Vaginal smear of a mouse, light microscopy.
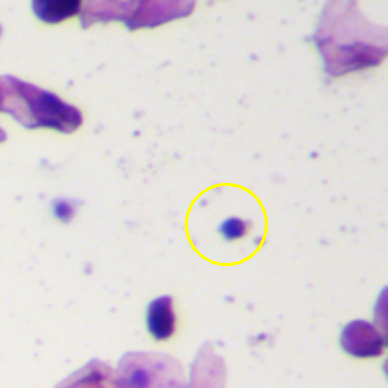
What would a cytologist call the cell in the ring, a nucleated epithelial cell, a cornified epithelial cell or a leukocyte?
A cytologist would call it a leukocyte.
